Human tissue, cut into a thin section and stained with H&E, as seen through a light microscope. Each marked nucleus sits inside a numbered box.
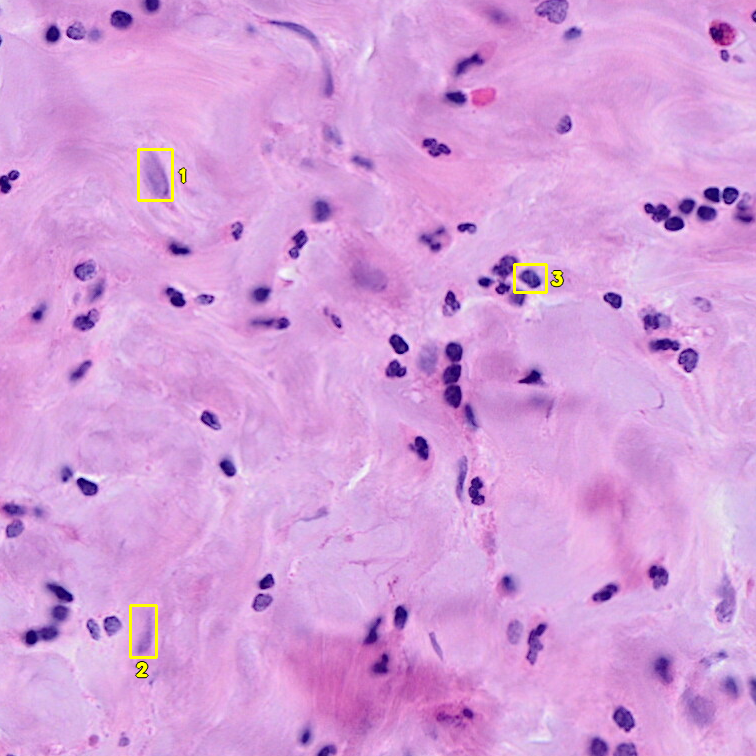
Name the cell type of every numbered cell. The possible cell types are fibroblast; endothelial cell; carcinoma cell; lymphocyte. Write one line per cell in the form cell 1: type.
cell 1: fibroblast
cell 2: fibroblast
cell 3: lymphocyte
